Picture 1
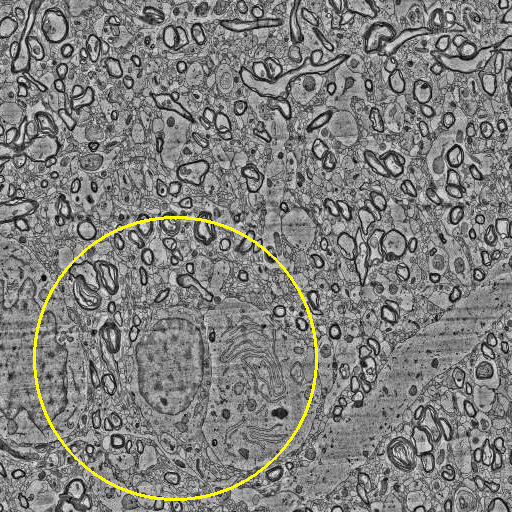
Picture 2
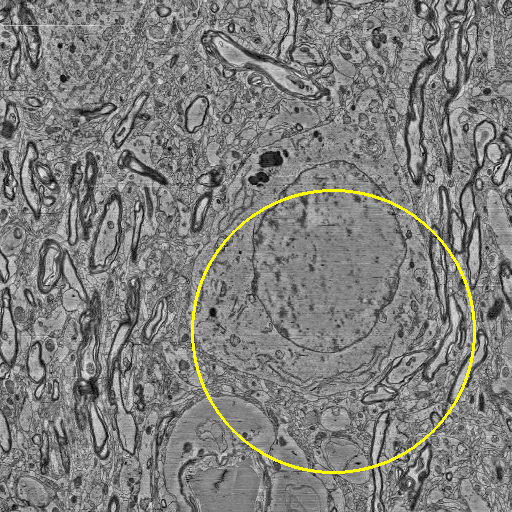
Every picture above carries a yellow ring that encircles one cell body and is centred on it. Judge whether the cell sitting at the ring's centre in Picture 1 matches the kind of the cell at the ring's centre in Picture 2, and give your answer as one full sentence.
No, the cells centred in the rings of Pictures 1 and 2 belong to two kinds.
